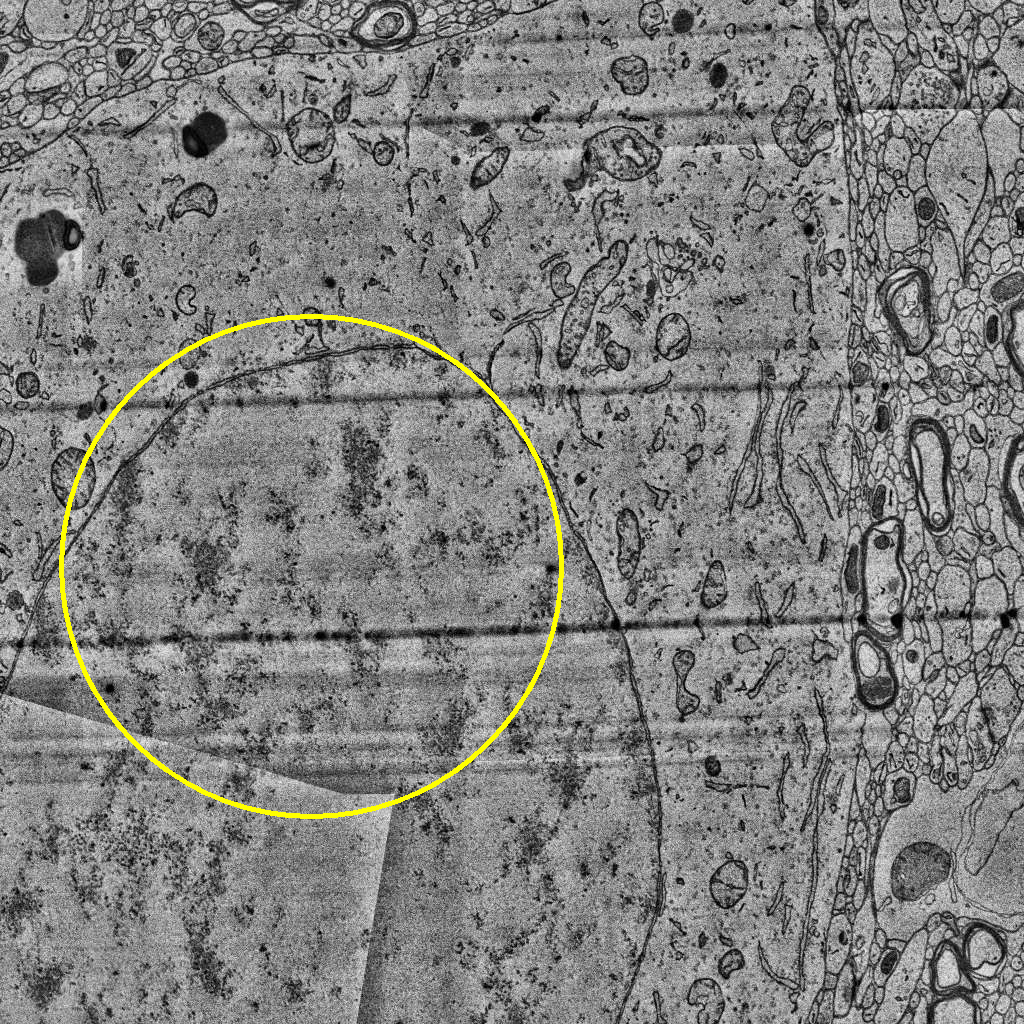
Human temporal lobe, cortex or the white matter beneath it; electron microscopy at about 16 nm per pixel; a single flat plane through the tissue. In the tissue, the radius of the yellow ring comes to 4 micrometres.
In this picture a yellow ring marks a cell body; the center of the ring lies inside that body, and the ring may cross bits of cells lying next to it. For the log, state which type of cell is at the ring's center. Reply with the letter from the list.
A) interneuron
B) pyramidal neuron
B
